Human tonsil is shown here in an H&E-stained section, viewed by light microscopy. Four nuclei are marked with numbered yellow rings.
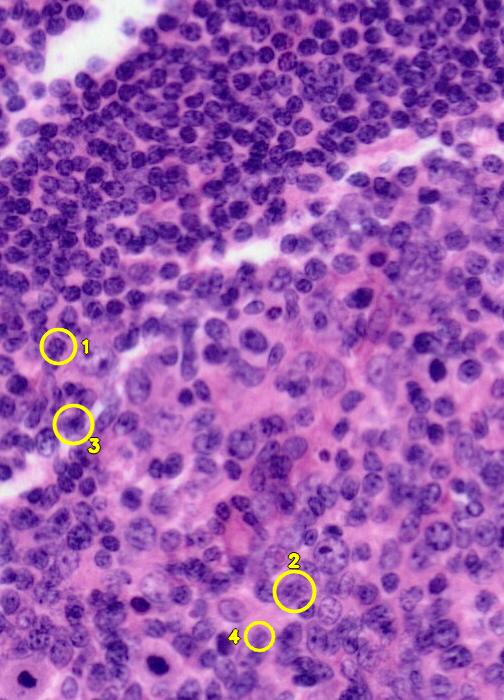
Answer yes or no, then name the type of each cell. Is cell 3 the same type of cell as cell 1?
No, cell 3 here is a proliferating B cell, and cell 1 here is a small lymphocyte.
